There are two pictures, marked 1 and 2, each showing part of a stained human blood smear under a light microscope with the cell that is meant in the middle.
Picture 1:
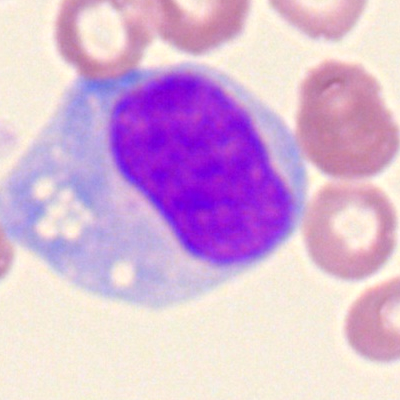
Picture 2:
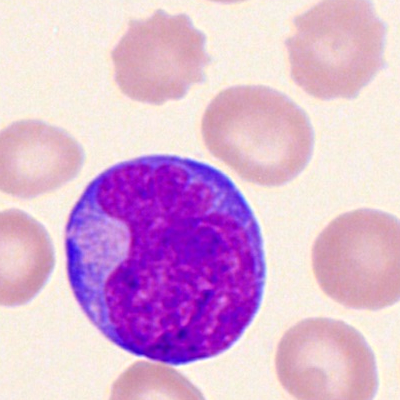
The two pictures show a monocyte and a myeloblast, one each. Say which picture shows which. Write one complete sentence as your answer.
Picture 2 shows a myeloblast, while picture 1 shows a monocyte.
